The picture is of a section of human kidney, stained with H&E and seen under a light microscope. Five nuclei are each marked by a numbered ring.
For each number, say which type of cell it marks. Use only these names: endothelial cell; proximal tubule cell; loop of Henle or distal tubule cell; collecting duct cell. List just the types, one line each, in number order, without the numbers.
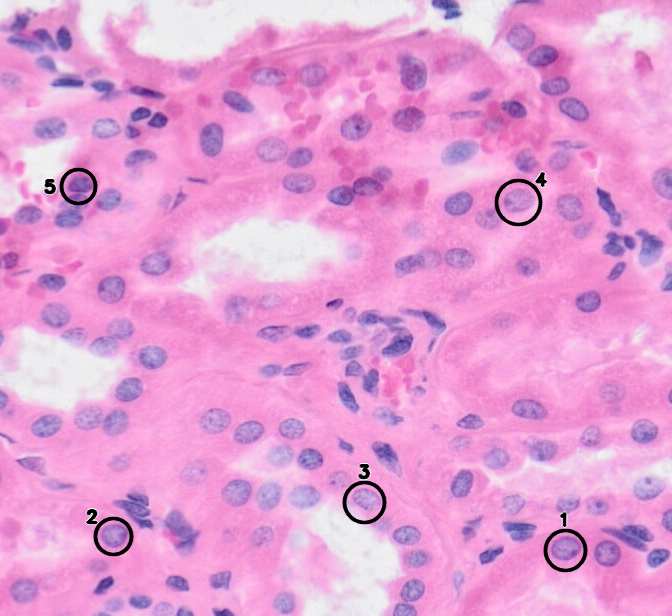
proximal tubule cell
proximal tubule cell
loop of Henle or distal tubule cell
proximal tubule cell
loop of Henle or distal tubule cell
